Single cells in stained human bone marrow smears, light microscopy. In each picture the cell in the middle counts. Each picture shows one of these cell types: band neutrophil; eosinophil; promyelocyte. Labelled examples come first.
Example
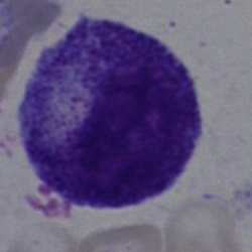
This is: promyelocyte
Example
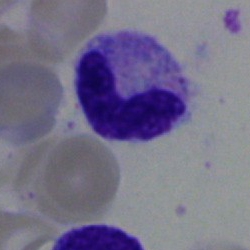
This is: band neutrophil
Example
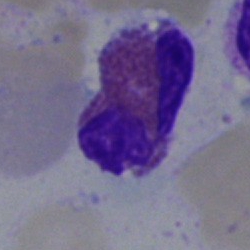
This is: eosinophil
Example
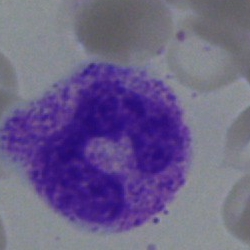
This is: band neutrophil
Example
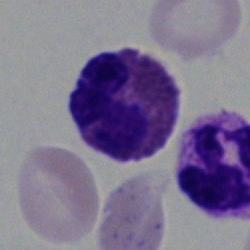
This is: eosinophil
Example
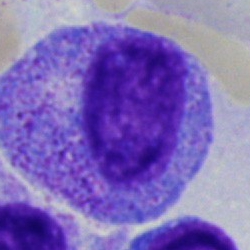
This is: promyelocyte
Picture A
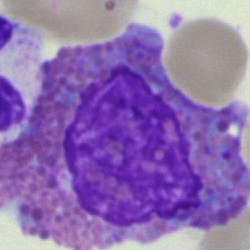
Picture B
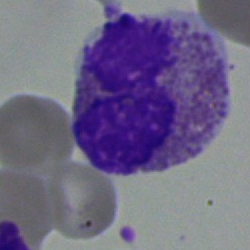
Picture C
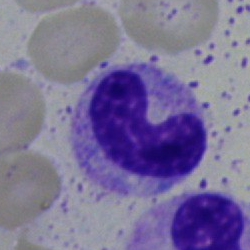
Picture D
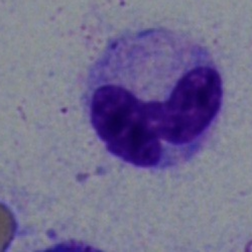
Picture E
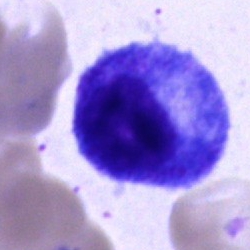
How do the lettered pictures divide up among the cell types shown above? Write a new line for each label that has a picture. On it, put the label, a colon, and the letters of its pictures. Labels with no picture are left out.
band neutrophil: C, D
eosinophil: A, B
promyelocyte: E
